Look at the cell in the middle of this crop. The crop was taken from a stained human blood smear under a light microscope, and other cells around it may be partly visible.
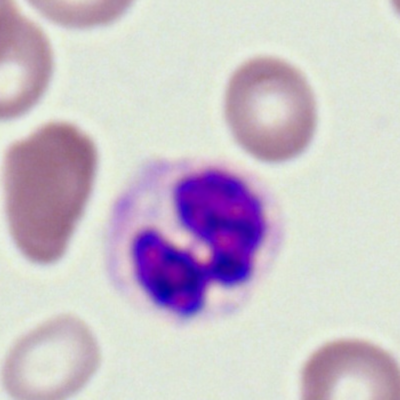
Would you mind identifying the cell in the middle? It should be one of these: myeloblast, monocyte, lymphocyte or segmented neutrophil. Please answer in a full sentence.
Centred in the crop is a segmented neutrophil.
